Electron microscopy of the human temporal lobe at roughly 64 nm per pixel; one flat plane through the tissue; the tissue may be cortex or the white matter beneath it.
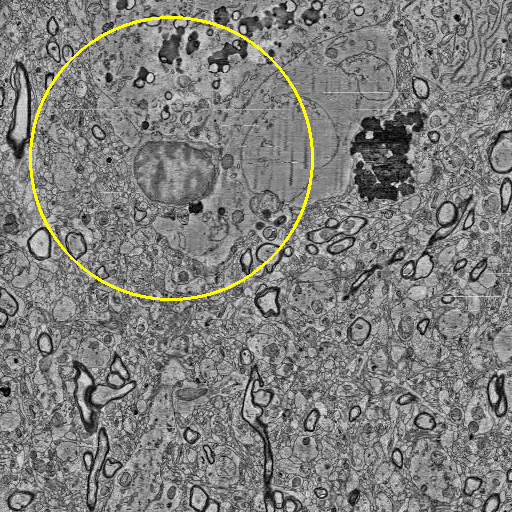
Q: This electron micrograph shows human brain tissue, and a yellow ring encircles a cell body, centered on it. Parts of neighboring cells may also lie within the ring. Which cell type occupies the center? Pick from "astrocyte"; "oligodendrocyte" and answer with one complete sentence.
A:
What sits at the ring's center in this micrograph is an oligodendrocyte, among those choices.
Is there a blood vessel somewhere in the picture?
Yes.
